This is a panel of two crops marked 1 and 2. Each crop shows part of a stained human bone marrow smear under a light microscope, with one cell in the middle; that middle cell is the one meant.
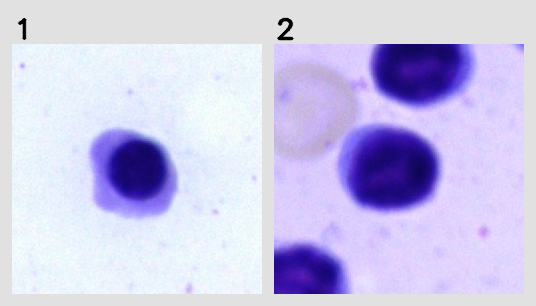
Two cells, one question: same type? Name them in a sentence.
No, the cell in crop 1 is an erythroblast, and the cell in crop 2 is a lymphocyte.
